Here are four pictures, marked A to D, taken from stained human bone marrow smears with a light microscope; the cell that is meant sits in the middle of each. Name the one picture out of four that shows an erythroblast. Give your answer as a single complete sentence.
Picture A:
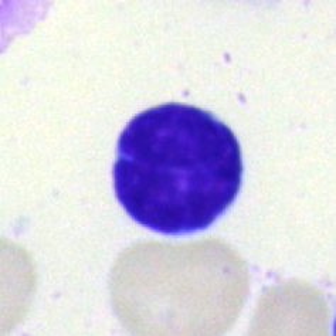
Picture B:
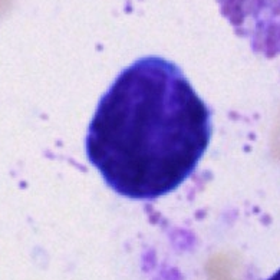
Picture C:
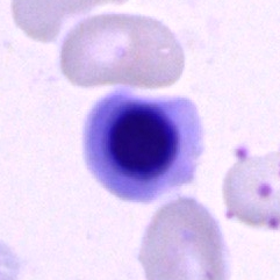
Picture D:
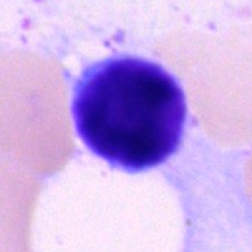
It is picture C that shows the erythroblast.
